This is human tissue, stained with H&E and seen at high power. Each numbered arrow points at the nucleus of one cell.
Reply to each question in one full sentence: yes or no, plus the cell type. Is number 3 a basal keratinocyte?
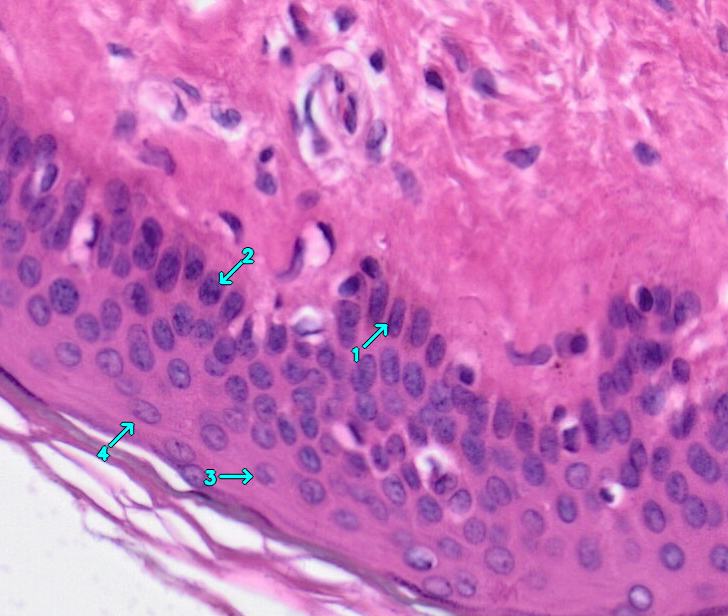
No, the identification of cell 3 as a basal keratinocyte is incorrect; it is a suprabasal keratinocyte.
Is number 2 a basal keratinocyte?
Yes, that is correct: the cell numbered 2 is a basal keratinocyte.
